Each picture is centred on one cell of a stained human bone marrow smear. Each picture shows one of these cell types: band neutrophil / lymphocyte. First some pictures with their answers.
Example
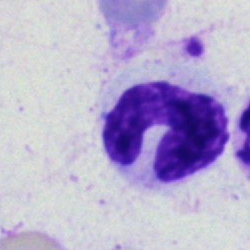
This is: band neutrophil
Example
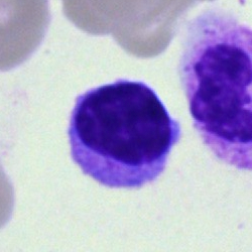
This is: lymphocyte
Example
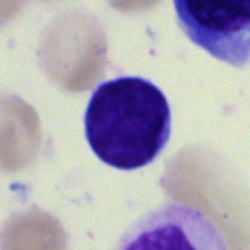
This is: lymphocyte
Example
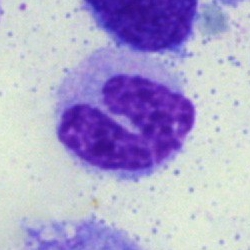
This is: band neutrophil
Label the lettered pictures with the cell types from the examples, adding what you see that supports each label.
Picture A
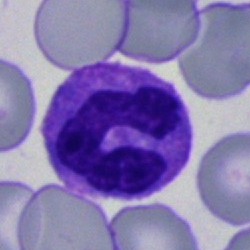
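band neutrophil: The nucleus is a curved band bent into a C-shape around a pale central gap that opens to the right.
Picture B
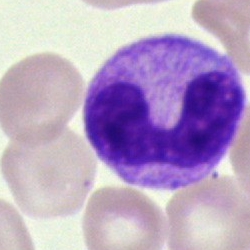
band neutrophil: The nucleus is bent into a U shape whose opening faces upward.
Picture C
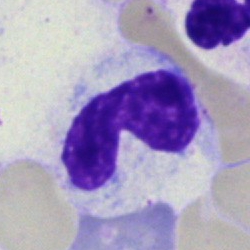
band neutrophil: The nucleus is a single thick band bent into a horseshoe shape.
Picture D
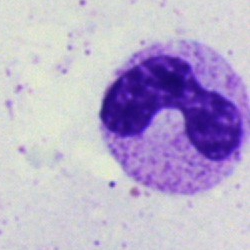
band neutrophil: The nucleus is a thick curved band bent into a U whose opening faces downward.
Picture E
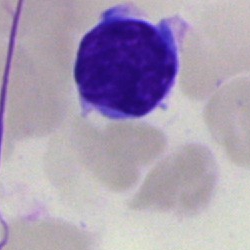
lymphocyte: The cytoplasm is scant, forming only a thin rim around the nucleus.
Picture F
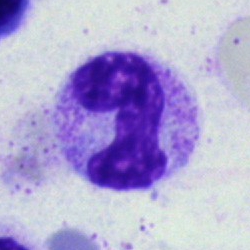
band neutrophil: The nucleus is a single thick curved band bent into a hook shape.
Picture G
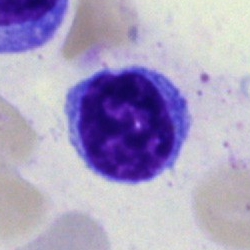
lymphocyte: The cytoplasm forms only a thin rim around the nucleus.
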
